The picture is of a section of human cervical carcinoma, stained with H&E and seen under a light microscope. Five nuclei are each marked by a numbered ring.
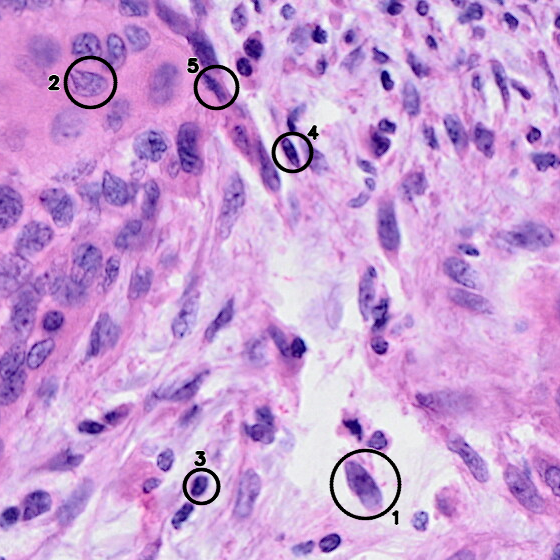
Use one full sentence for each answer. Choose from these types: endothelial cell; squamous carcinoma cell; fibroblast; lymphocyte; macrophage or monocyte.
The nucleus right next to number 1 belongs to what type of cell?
The cell nearest to number 1 is a lymphocyte.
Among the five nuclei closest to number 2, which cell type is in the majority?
Most of the five nuclei nearest to number 2 are those of squamous carcinoma cells.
